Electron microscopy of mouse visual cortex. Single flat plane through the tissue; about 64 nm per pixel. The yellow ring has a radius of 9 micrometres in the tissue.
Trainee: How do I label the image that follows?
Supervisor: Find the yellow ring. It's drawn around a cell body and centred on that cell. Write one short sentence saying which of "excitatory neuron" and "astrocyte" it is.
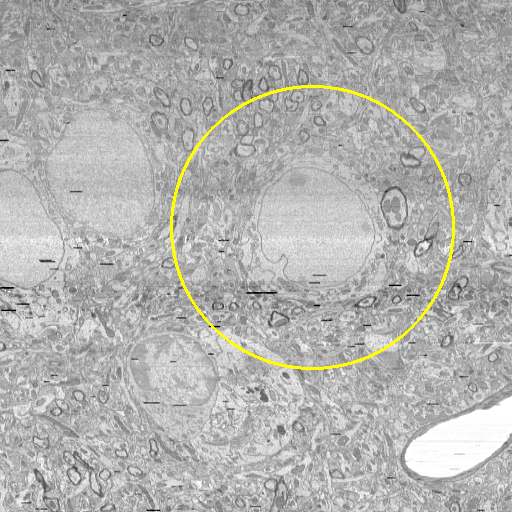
This is the cell body of an excitatory neuron.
